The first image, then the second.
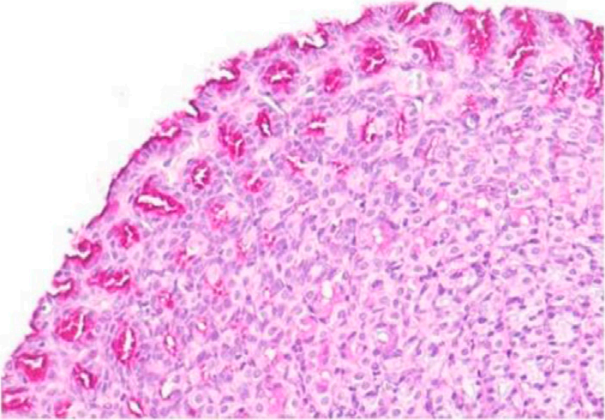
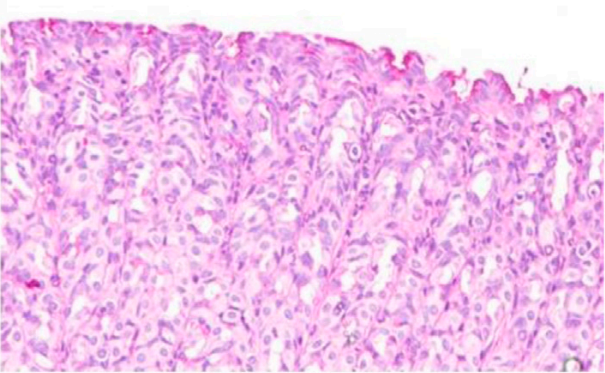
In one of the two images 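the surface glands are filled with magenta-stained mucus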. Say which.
The first image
